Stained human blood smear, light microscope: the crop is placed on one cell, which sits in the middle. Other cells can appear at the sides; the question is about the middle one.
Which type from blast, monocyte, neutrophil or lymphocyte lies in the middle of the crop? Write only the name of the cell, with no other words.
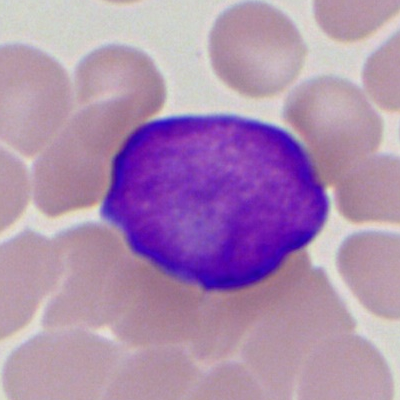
blast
